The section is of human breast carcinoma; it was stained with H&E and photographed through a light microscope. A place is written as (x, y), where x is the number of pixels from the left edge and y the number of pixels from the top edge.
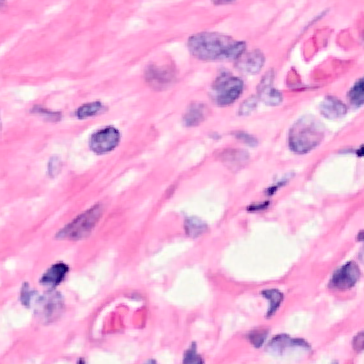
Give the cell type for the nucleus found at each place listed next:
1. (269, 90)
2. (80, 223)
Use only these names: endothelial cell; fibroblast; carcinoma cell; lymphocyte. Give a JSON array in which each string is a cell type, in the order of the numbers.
["endothelial cell", "fibroblast"]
